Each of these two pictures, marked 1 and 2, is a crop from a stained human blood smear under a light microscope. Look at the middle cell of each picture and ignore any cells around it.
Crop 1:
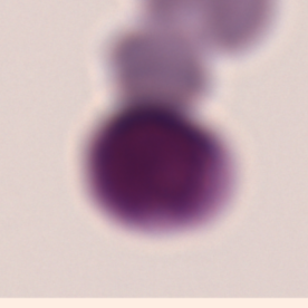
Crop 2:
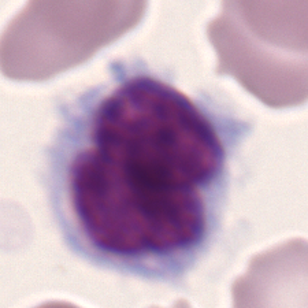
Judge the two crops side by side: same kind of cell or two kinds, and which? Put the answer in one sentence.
No, a smudge cell is in crop 1, and a hairy cell is in crop 2.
